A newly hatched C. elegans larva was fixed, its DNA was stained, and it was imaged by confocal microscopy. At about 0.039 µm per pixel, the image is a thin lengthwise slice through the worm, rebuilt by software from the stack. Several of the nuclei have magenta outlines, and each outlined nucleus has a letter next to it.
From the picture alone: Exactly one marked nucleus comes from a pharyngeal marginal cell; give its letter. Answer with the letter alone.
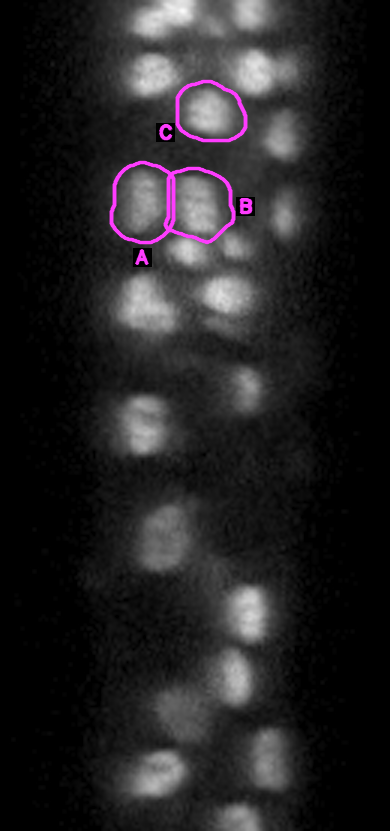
B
